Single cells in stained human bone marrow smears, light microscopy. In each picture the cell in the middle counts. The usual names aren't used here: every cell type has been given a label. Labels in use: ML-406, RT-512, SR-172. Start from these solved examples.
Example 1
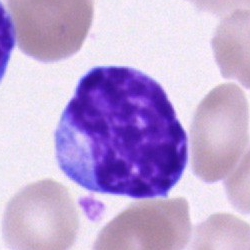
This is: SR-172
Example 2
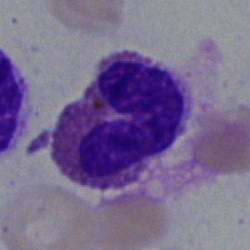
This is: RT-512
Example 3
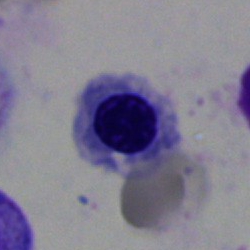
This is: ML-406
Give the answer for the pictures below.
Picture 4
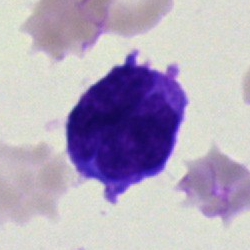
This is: SR-172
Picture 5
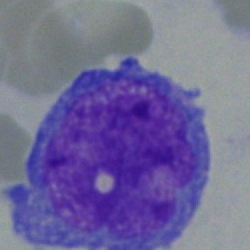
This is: SR-172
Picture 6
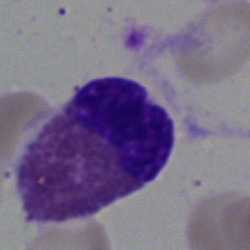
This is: RT-512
